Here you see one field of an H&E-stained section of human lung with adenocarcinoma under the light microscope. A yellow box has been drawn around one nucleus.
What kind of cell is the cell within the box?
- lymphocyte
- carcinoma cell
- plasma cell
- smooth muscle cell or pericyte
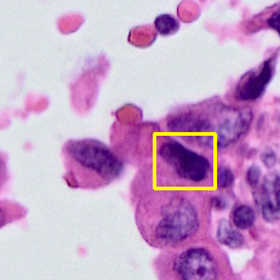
carcinoma cell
